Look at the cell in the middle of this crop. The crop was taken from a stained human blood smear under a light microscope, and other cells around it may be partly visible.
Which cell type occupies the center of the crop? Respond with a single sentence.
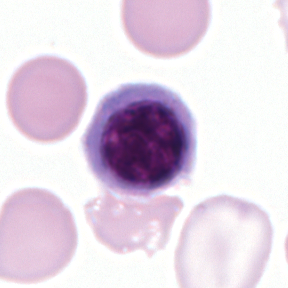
Within this crop, an erythroblast occupies the central position.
